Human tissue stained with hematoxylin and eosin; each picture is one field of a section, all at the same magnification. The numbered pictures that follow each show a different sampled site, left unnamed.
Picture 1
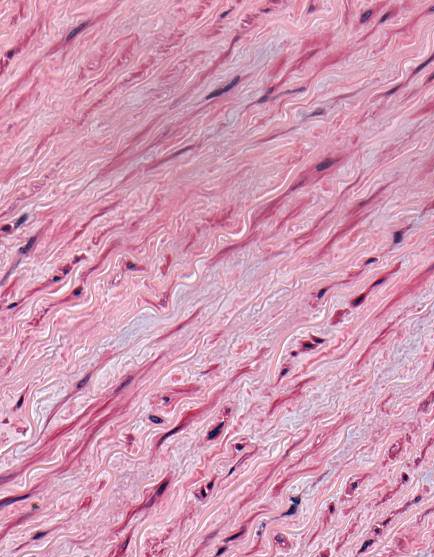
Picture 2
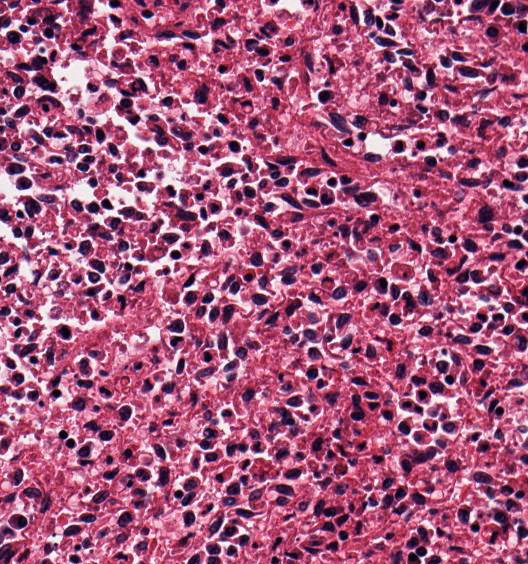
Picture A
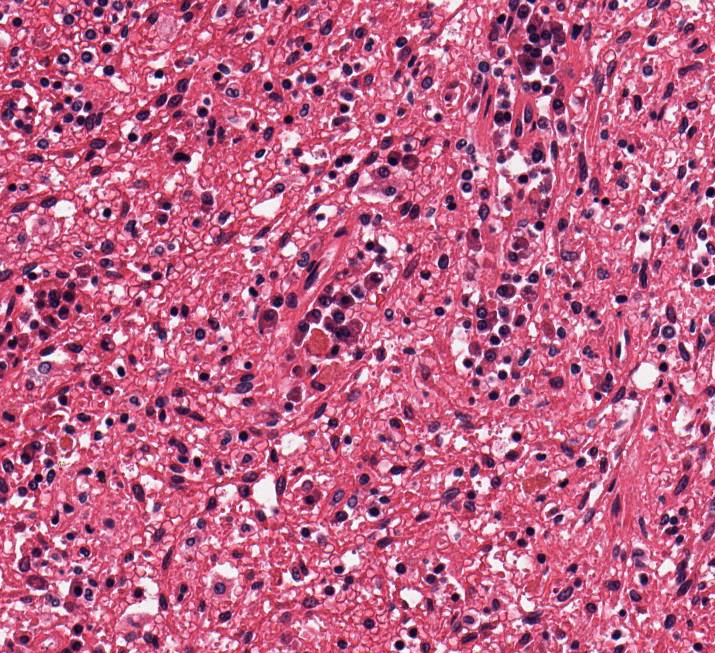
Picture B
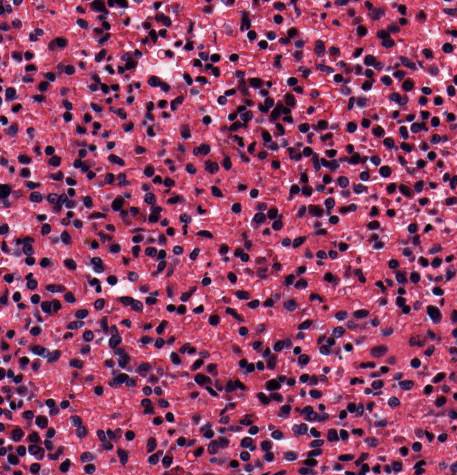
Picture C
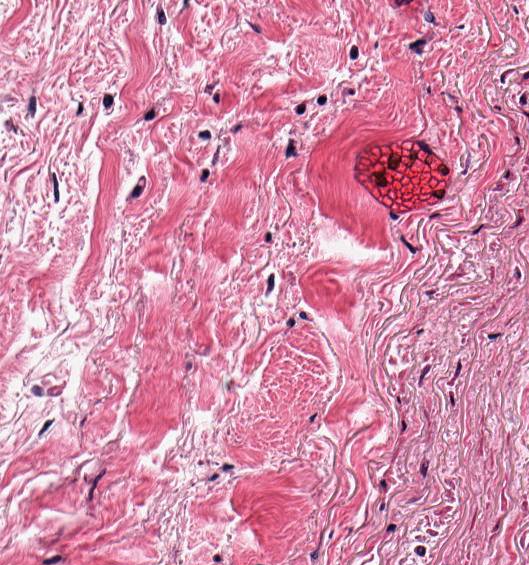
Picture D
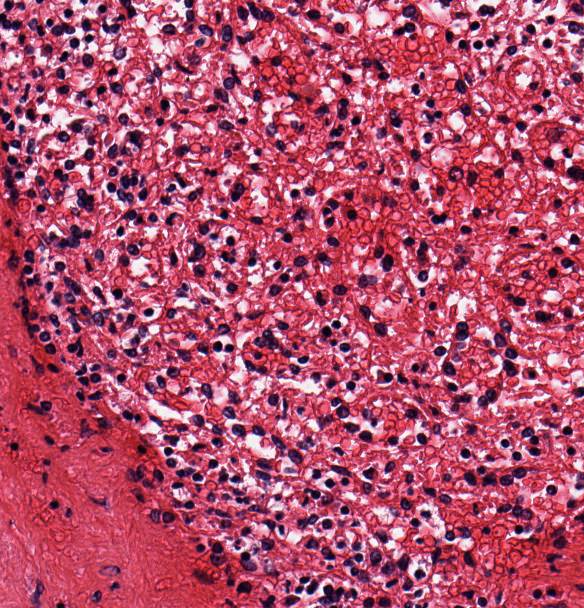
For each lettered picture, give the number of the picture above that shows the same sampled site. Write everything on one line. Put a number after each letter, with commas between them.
A 2, B 2, C 1, D 2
